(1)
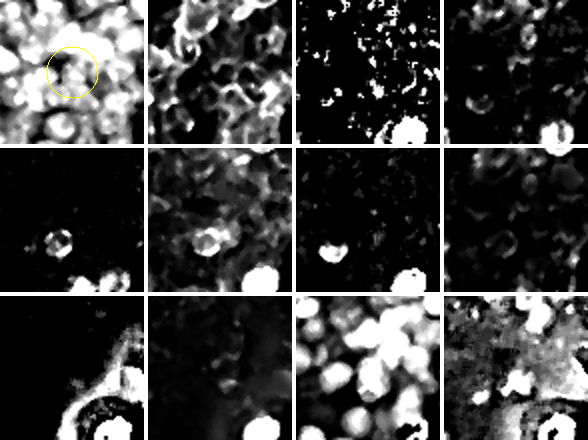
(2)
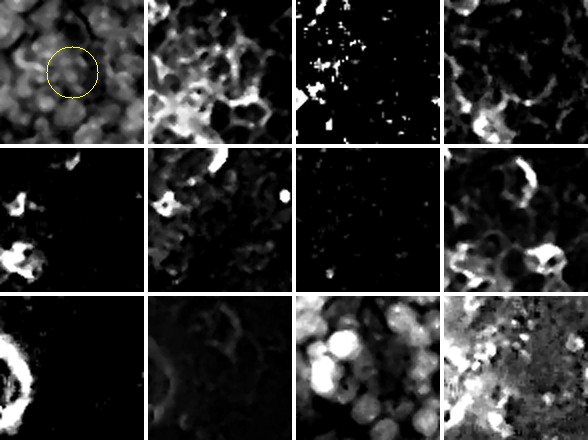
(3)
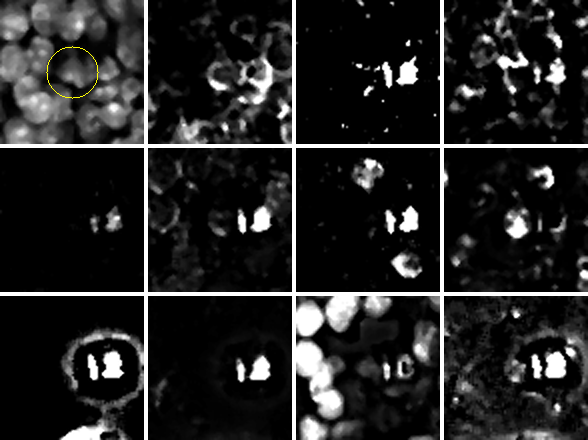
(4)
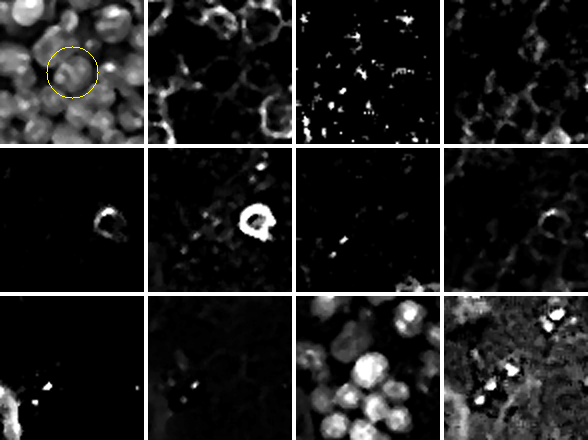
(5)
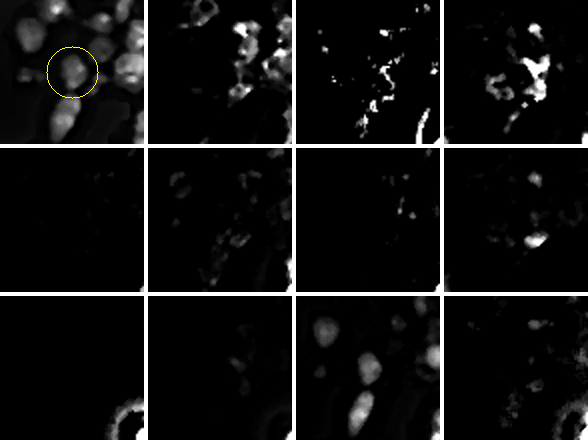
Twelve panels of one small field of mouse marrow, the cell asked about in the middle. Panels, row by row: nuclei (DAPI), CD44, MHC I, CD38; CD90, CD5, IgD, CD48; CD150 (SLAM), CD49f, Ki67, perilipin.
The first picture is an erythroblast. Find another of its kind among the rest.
Picture 4.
